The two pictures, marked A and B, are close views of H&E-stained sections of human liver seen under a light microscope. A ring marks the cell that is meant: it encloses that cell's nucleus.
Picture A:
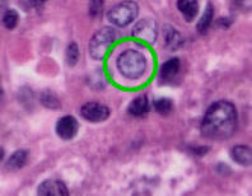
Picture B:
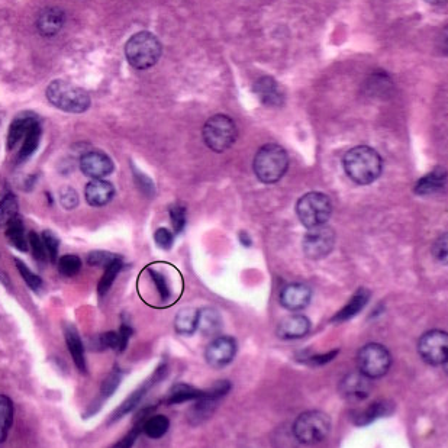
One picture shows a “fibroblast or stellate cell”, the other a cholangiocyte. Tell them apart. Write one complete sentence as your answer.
It is picture A that shows a cholangiocyte, and picture B that shows a “fibroblast or stellate cell”.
